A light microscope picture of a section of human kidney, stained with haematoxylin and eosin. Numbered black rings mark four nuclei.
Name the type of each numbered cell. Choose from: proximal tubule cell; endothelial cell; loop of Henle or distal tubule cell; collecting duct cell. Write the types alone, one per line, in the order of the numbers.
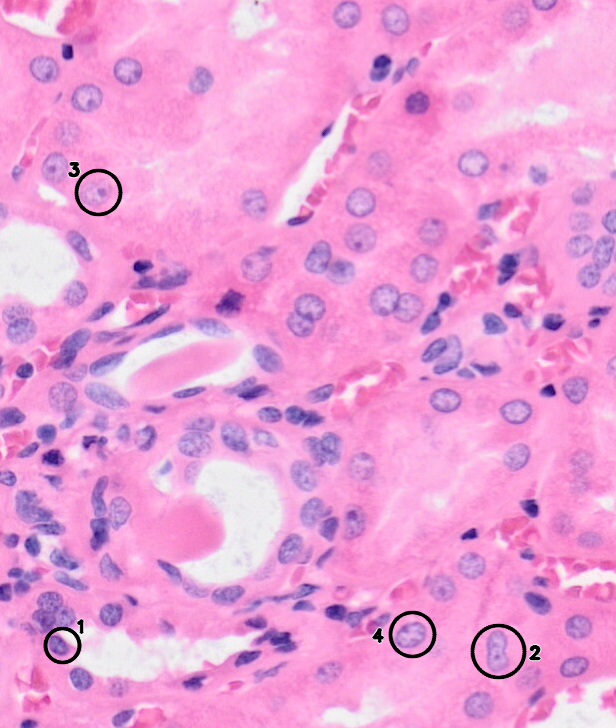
loop of Henle or distal tubule cell
proximal tubule cell
proximal tubule cell
proximal tubule cell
